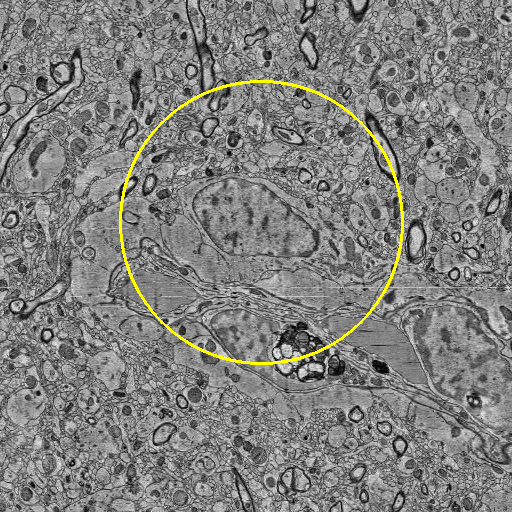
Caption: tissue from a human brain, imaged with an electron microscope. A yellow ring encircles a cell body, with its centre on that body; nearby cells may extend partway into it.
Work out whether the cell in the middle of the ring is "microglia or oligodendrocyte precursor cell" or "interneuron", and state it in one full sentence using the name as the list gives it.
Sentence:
In the picture, the cell that the yellow ring surrounds at its centre is a microglial cell or oligodendrocyte precursor cell.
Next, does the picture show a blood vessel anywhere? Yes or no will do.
Yes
